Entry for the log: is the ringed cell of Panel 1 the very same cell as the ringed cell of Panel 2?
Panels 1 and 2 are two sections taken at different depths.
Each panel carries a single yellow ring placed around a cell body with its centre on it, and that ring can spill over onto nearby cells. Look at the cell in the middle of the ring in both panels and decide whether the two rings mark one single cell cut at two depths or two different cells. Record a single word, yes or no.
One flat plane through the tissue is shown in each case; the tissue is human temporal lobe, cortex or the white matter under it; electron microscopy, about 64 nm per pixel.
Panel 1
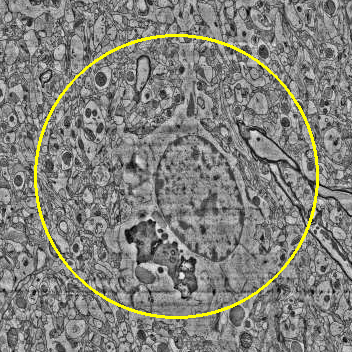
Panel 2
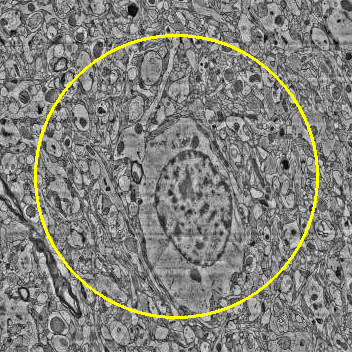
yes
